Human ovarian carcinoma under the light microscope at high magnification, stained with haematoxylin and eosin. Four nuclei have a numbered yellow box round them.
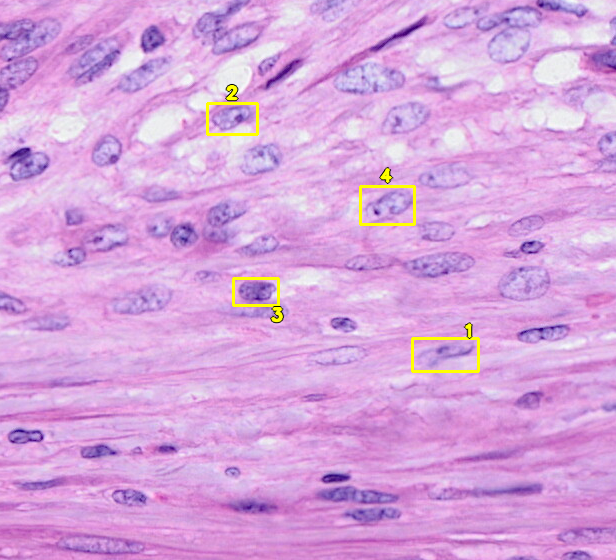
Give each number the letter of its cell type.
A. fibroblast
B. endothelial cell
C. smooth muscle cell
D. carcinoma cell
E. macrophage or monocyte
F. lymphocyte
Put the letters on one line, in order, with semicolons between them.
A; A; E; A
